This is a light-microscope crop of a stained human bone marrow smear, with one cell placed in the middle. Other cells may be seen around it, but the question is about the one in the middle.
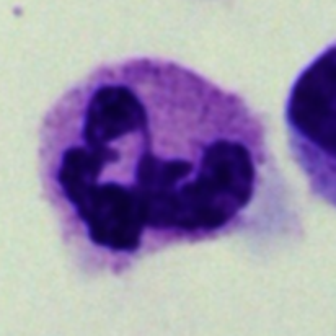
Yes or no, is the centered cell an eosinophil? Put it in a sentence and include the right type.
No, the cell at the centre is identified as a neutrophil, not as an eosinophil.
